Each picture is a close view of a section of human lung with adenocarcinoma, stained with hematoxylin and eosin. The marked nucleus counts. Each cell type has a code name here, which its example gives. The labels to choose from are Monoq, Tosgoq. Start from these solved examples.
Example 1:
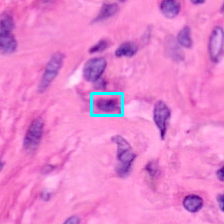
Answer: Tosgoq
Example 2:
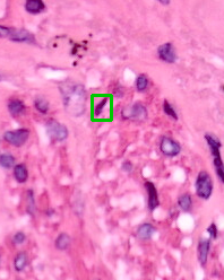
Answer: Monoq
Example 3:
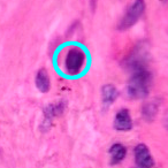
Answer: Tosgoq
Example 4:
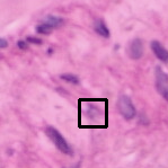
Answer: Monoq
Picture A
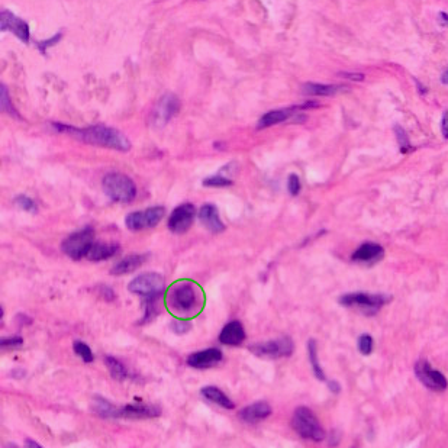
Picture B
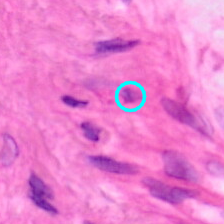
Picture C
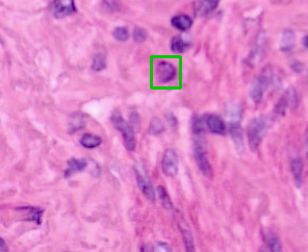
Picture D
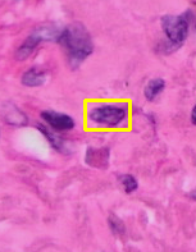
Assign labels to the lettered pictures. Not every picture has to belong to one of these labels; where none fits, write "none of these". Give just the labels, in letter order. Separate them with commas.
Tosgoq, Monoq, none of these, Tosgoq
